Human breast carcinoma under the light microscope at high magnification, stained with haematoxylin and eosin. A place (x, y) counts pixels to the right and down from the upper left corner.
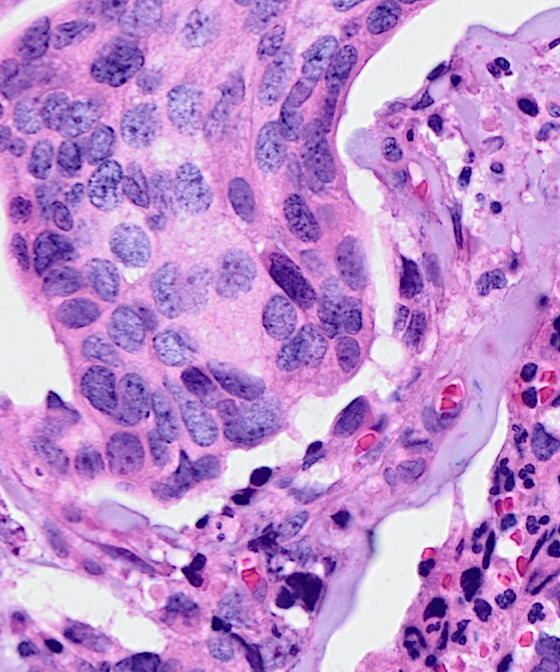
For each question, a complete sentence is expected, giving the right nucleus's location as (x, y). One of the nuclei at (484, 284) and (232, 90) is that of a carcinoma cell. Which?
In this pair, the nucleus at (232, 90) belongs to a carcinoma cell.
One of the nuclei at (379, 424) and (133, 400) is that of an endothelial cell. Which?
The nucleus of an endothelial cell lies at (379, 424), not at the other position.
